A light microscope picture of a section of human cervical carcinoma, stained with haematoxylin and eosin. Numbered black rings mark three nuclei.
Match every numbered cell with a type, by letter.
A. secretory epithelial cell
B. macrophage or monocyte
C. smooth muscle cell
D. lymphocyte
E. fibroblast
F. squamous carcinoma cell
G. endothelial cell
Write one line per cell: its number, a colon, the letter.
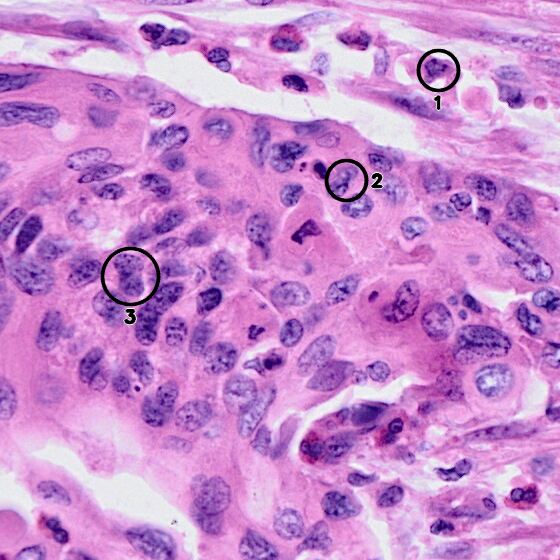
1: B
2: F
3: F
